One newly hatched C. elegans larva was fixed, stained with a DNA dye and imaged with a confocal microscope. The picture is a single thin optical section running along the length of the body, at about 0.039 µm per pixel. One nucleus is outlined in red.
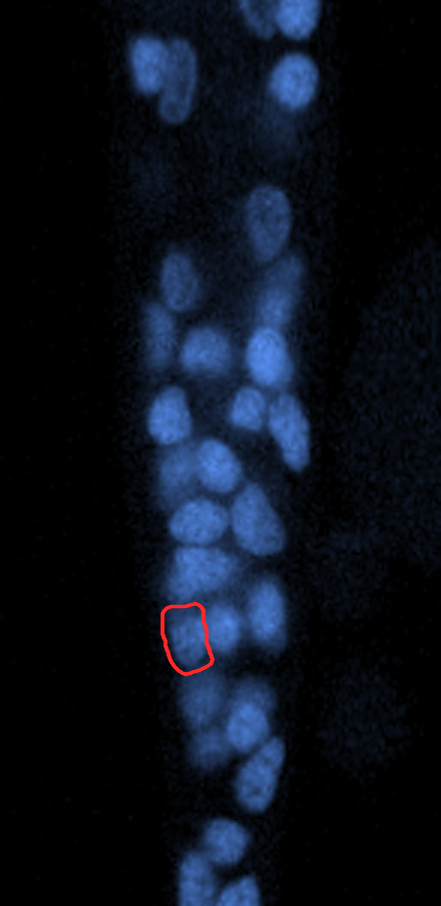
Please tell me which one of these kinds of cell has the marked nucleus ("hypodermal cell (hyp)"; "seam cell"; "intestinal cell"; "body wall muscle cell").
body wall muscle cell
